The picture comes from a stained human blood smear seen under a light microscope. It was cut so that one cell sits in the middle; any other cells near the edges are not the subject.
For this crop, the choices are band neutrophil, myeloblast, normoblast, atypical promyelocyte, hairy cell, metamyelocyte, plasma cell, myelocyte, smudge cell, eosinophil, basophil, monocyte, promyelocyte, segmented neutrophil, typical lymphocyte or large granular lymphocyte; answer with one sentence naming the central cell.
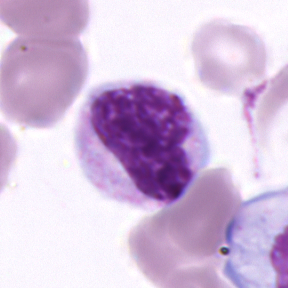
The central cell in this smear crop is a band neutrophil.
